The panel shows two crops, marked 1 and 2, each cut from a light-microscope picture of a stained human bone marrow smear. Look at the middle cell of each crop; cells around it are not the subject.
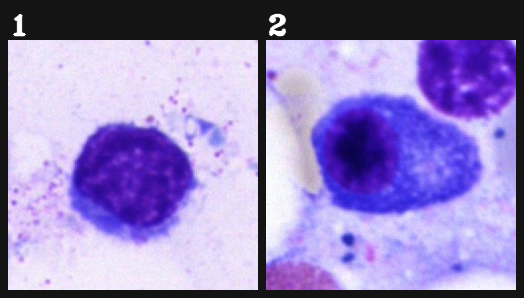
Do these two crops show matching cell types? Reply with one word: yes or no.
no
